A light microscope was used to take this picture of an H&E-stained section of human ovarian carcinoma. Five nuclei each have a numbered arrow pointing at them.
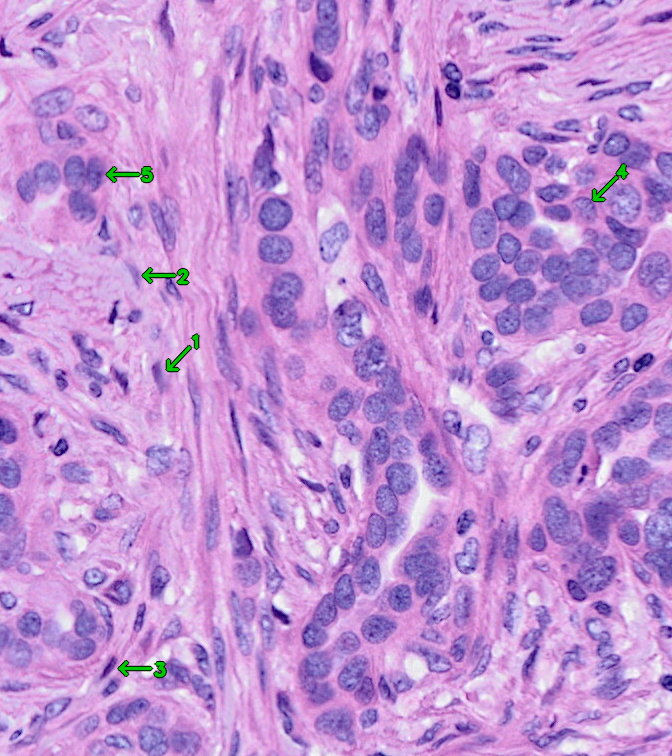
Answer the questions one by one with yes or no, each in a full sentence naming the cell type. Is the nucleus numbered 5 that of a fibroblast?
No, the cell marked 5 is a carcinoma cell rather than a fibroblast.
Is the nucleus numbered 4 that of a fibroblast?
No, cell 4 is a carcinoma cell and should not be called a fibroblast.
